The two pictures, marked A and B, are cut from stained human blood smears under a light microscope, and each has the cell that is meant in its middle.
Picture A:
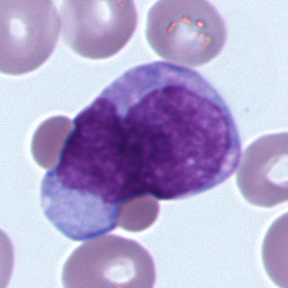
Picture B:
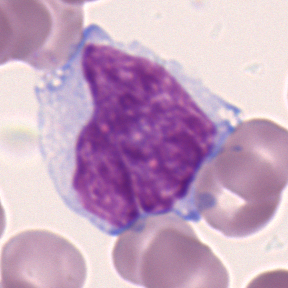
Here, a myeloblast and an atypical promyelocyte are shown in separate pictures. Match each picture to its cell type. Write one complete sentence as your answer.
Picture A shows an atypical promyelocyte and picture B shows a myeloblast.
